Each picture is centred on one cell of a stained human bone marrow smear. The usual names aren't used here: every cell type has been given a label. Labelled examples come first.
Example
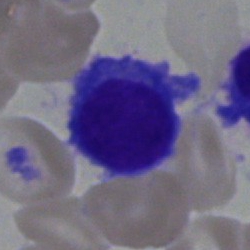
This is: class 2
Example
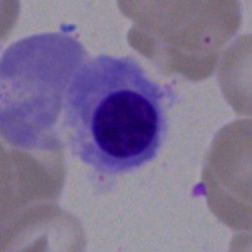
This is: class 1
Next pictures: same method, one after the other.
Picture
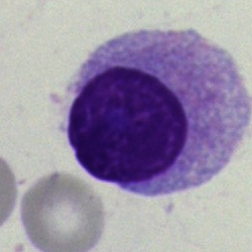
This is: class 2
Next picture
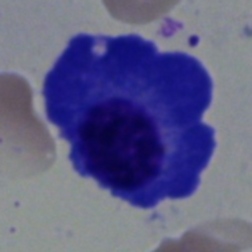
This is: class 2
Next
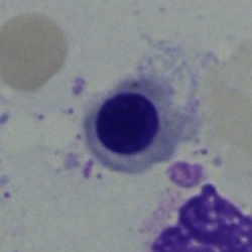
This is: class 1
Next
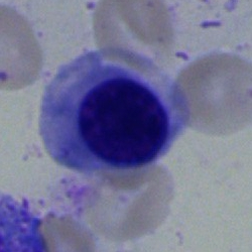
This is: class 1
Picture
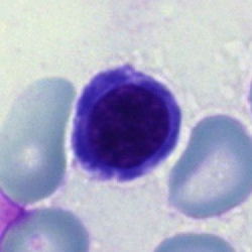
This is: class 1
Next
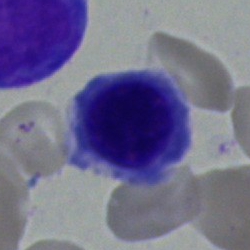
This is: class 1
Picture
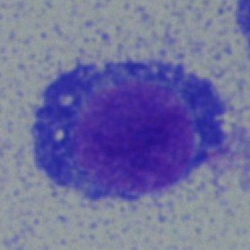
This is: class 2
